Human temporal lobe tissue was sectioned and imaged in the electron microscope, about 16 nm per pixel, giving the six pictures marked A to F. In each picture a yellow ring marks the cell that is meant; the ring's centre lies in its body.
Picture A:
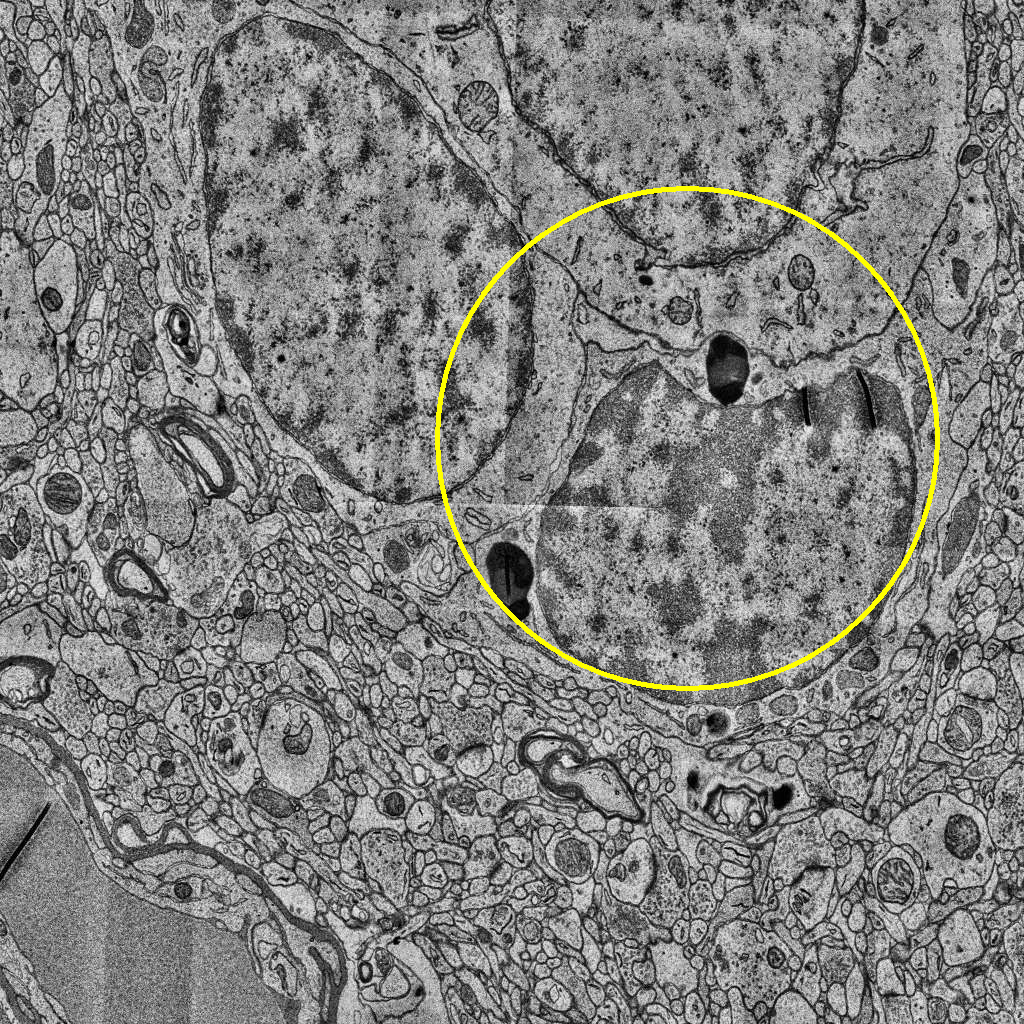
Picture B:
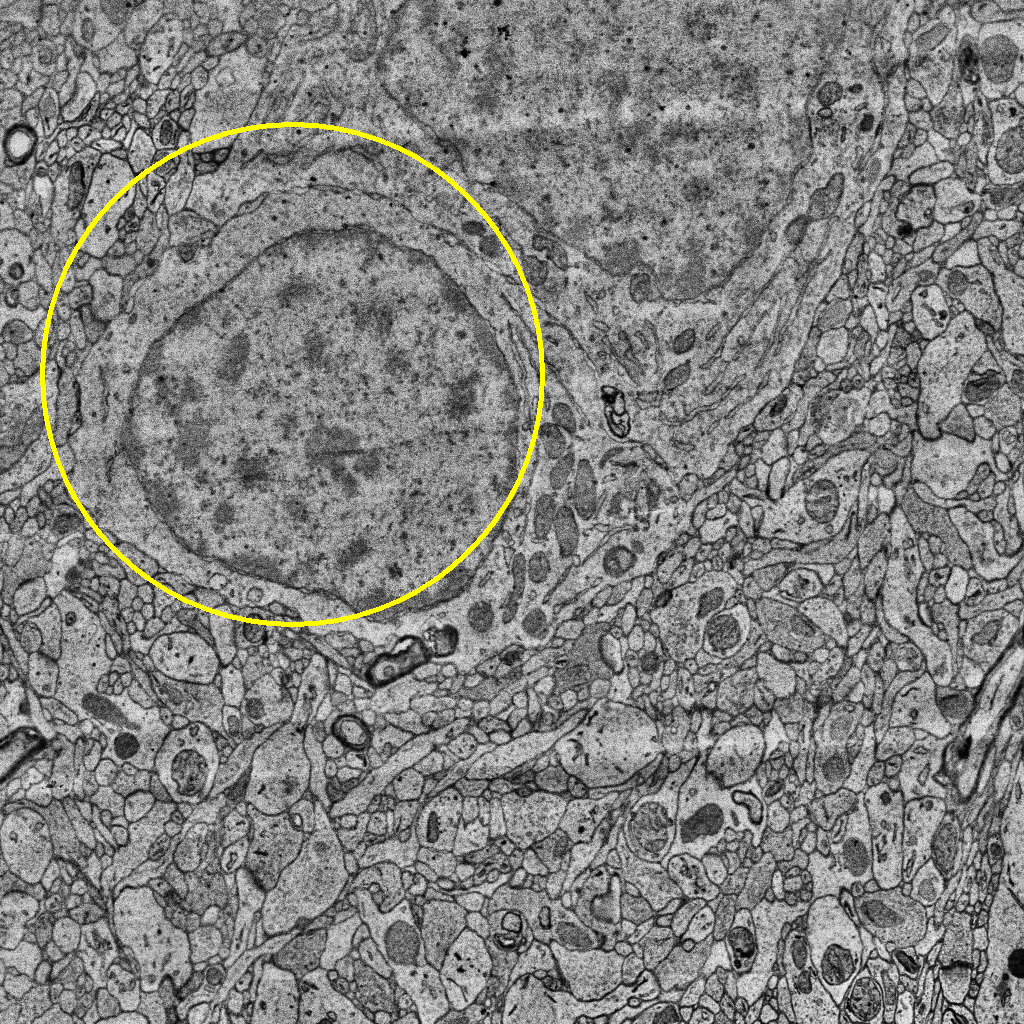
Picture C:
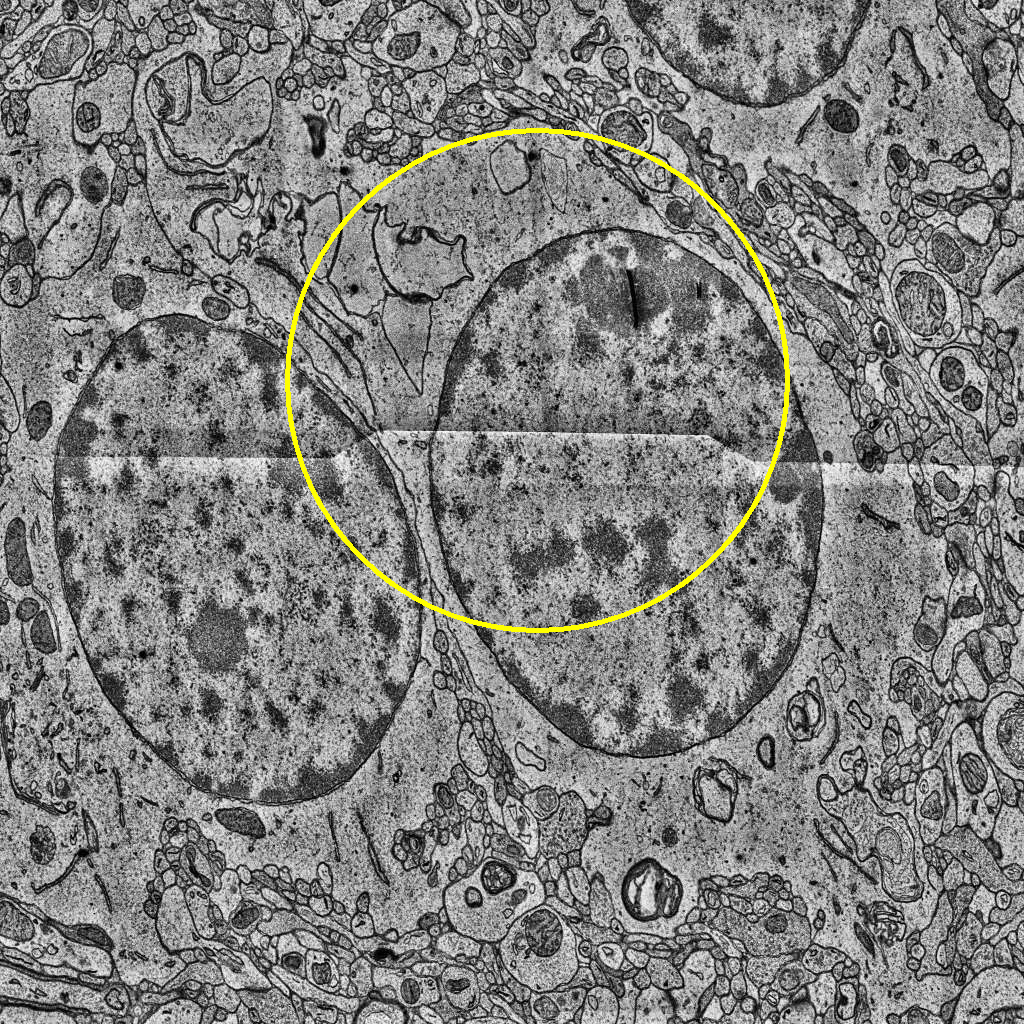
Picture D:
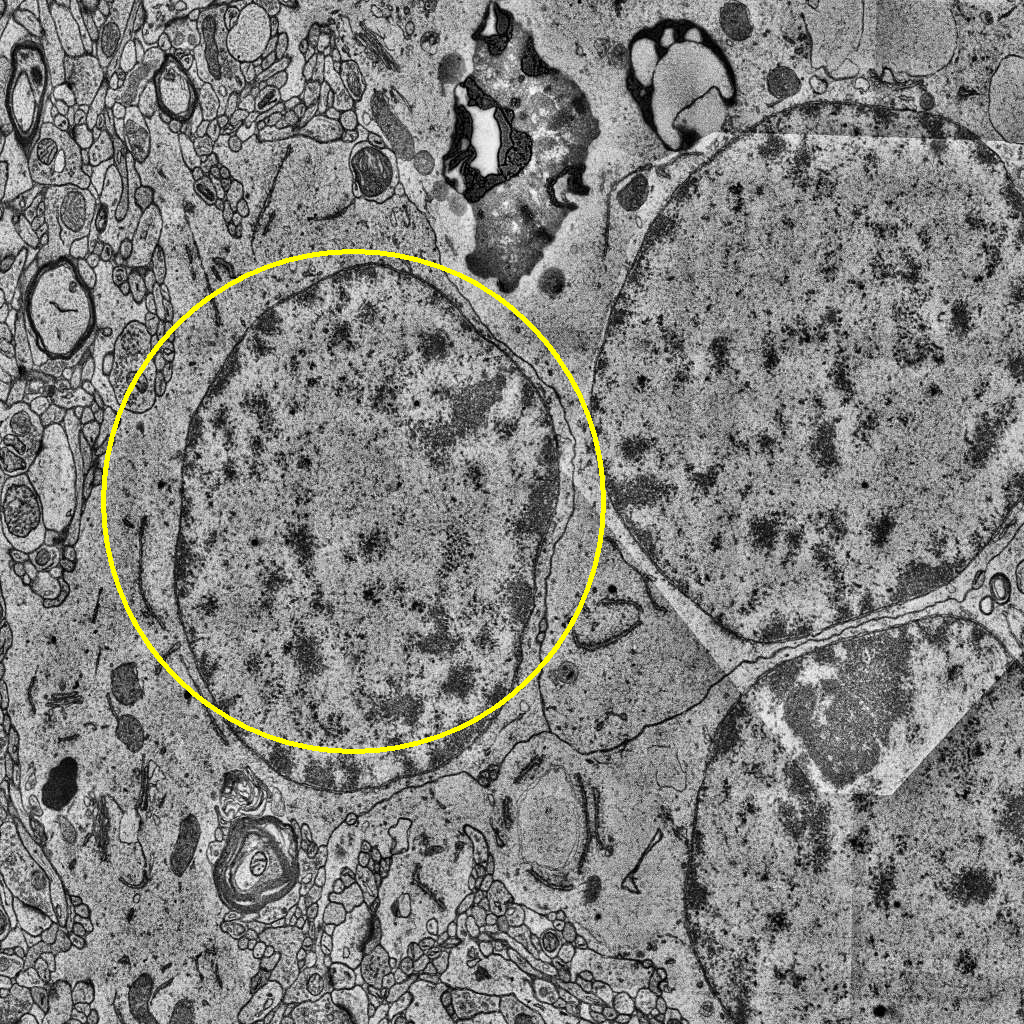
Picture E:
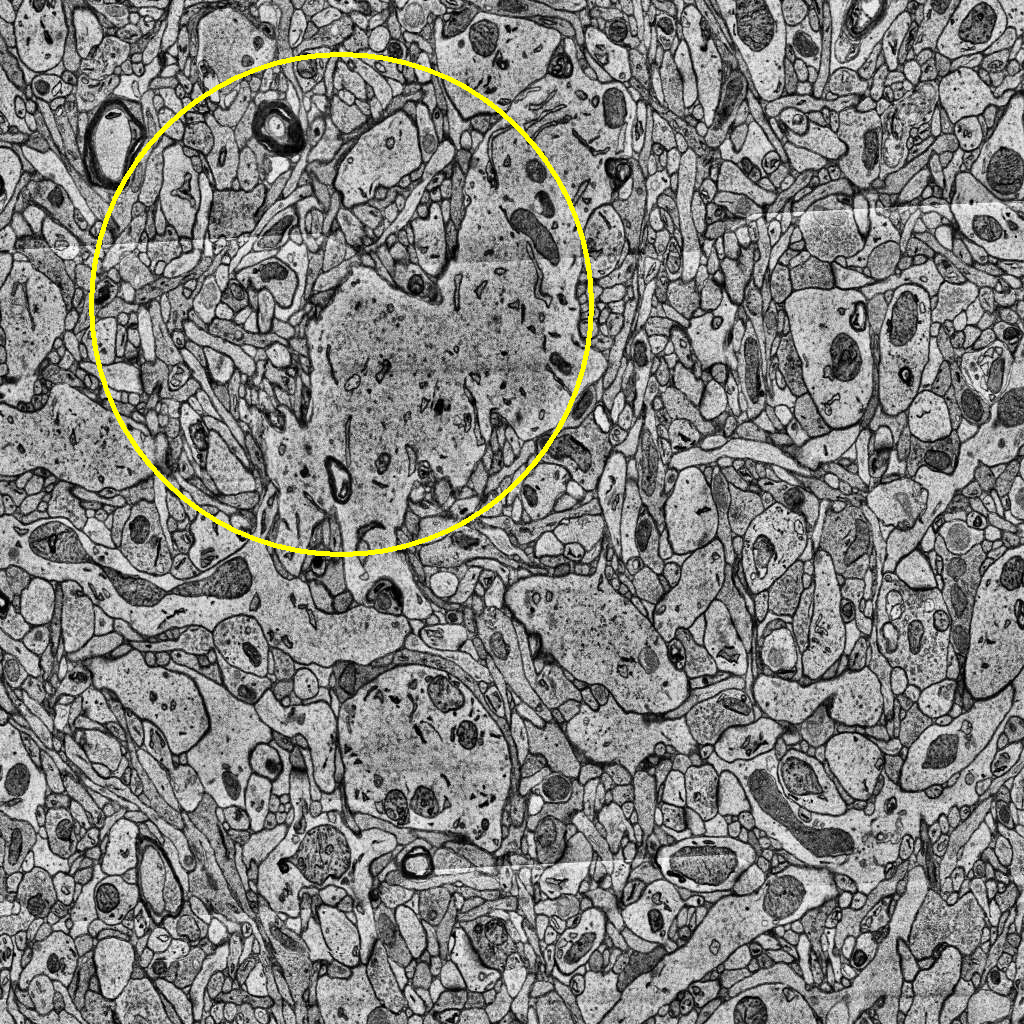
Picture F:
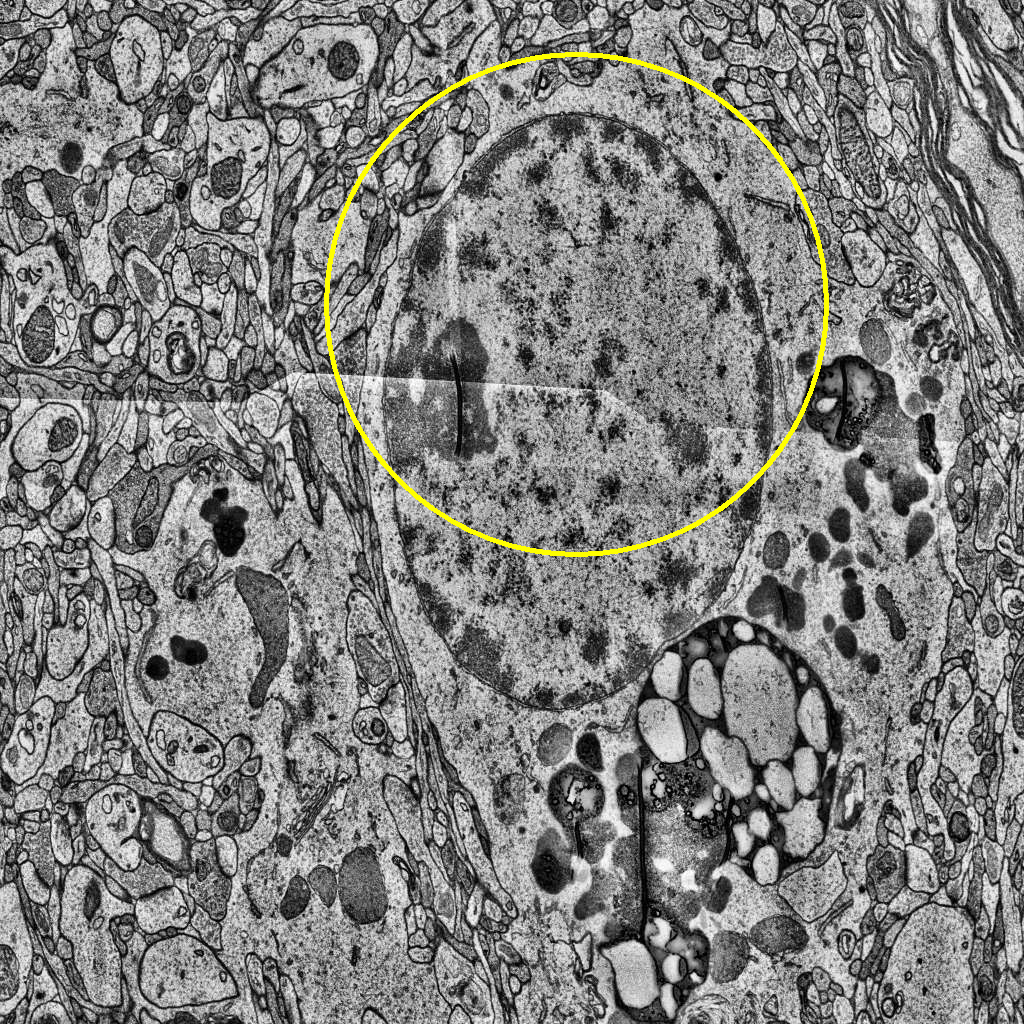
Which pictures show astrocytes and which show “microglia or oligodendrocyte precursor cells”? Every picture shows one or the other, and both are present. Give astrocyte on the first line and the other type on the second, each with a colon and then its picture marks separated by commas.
astrocyte: C, D, F
microglia or oligodendrocyte precursor cell: A, B, E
